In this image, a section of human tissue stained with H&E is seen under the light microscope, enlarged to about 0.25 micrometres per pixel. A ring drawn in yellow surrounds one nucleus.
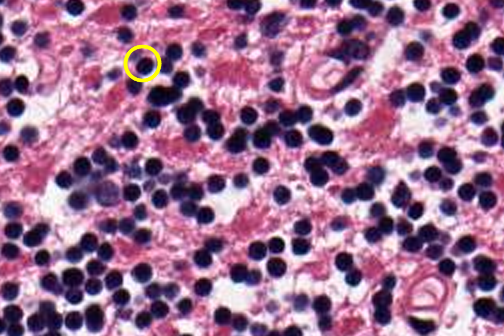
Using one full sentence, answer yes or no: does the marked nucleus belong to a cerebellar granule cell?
Yes, the marked nucleus belongs, in this section, to a cerebellar granule cell.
